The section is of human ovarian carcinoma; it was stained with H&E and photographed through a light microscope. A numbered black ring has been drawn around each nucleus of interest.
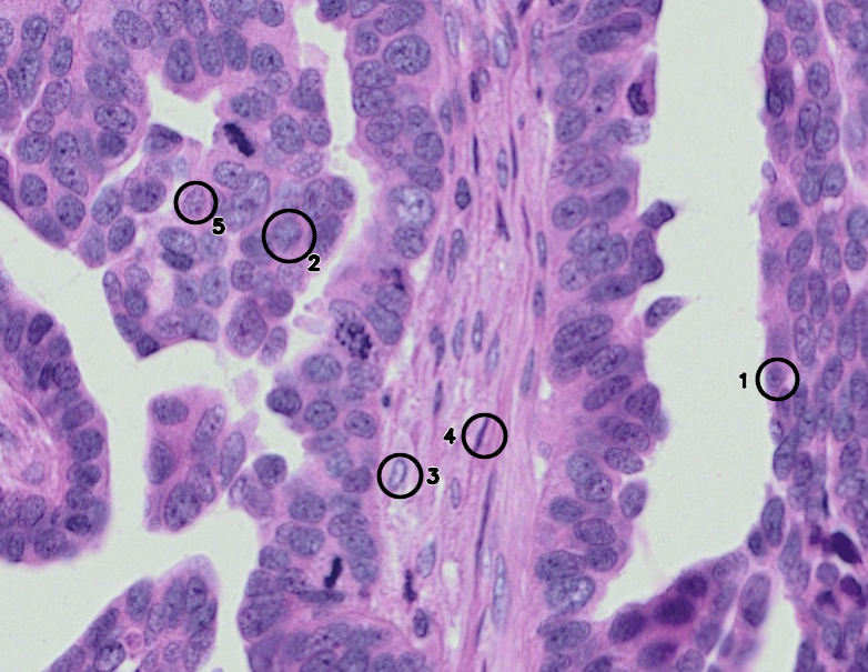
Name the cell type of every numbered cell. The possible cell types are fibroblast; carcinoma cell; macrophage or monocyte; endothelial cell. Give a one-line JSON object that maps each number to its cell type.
{"1": "carcinoma cell", "2": "carcinoma cell", "3": "fibroblast", "4": "fibroblast", "5": "carcinoma cell"}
